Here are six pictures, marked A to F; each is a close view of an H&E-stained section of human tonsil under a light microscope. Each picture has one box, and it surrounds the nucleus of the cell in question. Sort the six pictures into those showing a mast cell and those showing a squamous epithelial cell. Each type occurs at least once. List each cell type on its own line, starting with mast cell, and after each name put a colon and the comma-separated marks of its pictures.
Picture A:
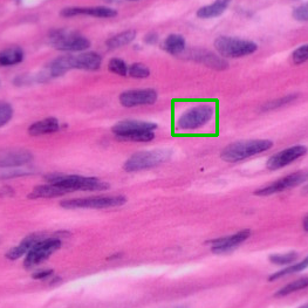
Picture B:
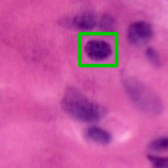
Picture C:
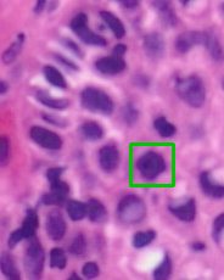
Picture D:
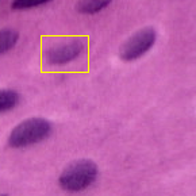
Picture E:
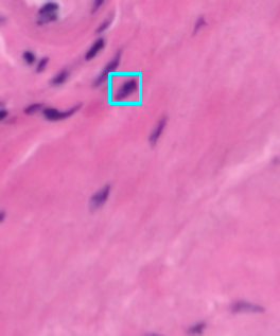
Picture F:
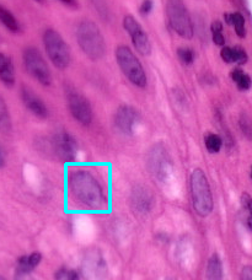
mast cell: A, B, E
squamous epithelial cell: C, D, F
